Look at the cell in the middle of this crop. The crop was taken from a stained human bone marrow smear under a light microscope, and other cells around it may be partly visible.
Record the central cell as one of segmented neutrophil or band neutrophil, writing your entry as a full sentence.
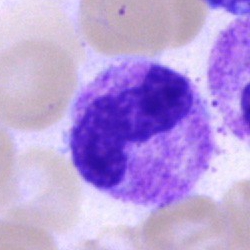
The cell shown in the center of this light-microscope crop is a band neutrophil.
